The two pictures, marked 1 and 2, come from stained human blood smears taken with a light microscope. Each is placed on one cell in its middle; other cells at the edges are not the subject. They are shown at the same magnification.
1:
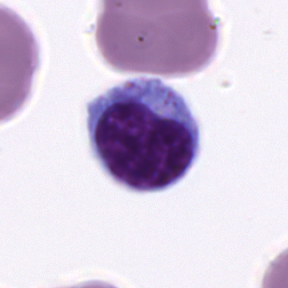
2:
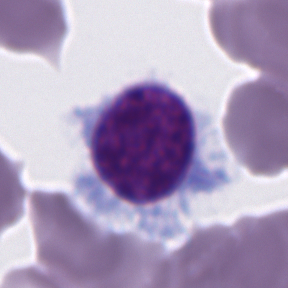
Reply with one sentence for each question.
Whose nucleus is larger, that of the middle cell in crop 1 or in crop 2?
Larger is the nucleus in crop 2, at roughly 1.5 times the area of the other.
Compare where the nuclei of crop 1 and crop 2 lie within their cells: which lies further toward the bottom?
The nucleus in crop 1 lies further toward the bottom of its cell.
